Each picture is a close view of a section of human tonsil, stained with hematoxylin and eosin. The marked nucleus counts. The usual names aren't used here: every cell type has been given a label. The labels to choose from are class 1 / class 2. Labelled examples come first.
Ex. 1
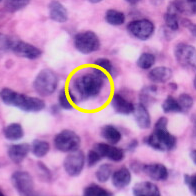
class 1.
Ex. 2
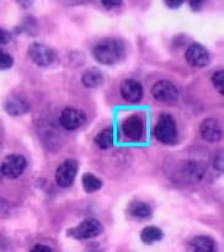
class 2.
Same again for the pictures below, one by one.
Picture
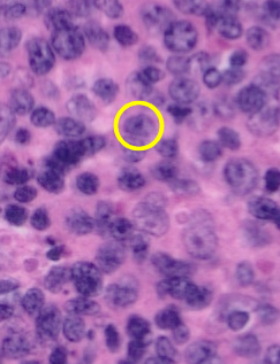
class 1.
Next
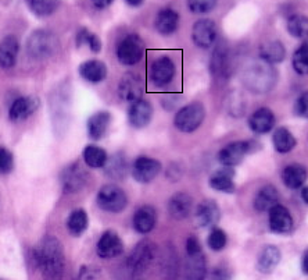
class 2.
